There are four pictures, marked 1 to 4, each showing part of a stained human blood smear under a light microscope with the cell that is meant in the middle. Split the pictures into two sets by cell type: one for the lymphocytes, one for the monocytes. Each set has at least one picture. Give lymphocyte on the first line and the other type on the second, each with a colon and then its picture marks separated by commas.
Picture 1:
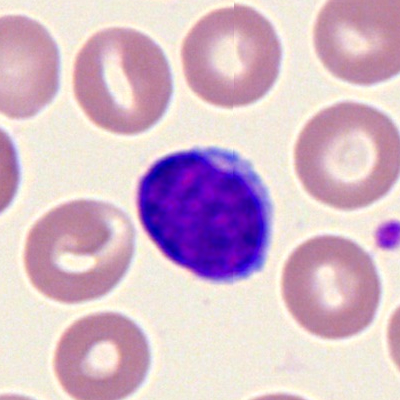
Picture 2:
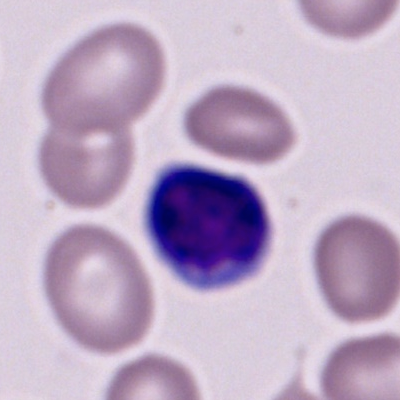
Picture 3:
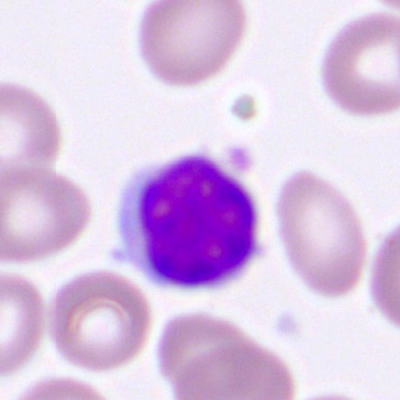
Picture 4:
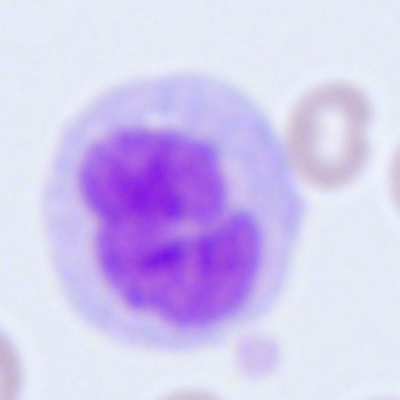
lymphocyte: 1, 2, 3
monocyte: 4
